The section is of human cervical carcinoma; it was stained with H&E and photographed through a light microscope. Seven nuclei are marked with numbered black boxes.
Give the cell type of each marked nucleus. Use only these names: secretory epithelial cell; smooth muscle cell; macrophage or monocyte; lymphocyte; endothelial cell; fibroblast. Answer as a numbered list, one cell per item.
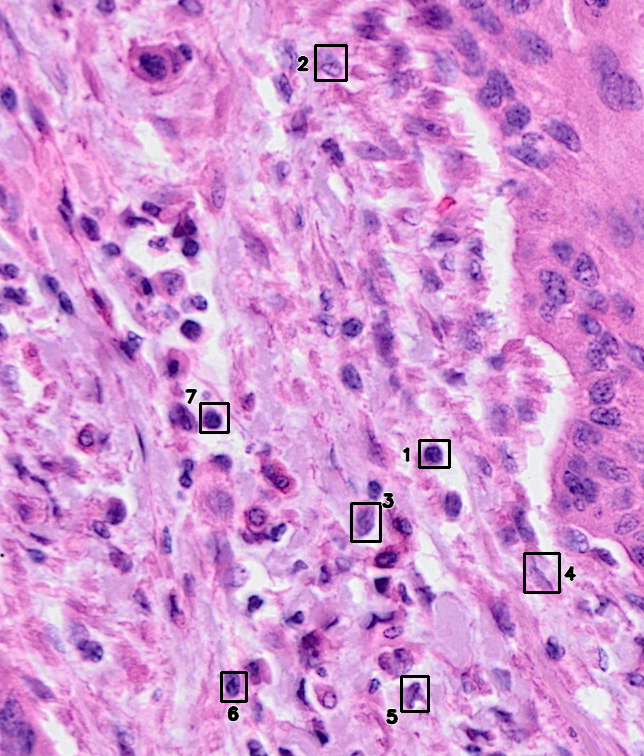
1. lymphocyte
2. fibroblast
3. macrophage or monocyte
4. fibroblast
5. macrophage or monocyte
6. lymphocyte
7. lymphocyte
